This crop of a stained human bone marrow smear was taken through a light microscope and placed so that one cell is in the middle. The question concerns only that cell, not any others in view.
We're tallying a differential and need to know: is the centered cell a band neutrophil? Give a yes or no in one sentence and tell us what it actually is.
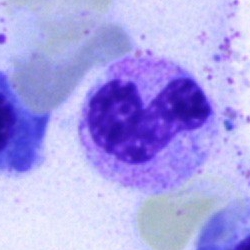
Yes, the cell here in the middle is a band neutrophil.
